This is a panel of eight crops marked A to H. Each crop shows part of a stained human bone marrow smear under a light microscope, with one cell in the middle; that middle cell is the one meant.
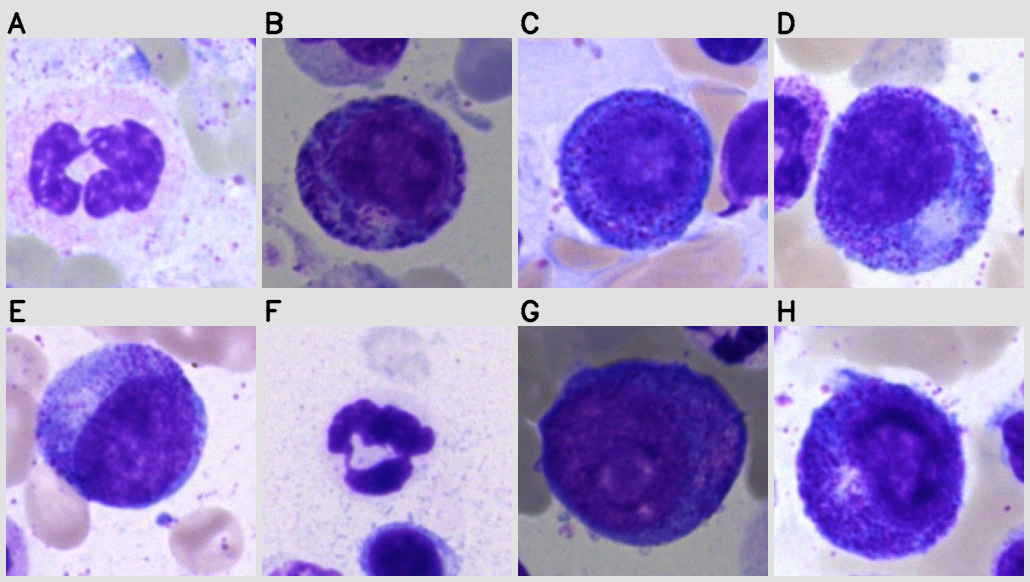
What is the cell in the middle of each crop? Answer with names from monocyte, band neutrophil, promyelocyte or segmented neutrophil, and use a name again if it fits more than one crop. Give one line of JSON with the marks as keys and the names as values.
{"A": "segmented neutrophil", "B": "promyelocyte", "C": "promyelocyte", "D": "promyelocyte", "E": "promyelocyte", "F": "segmented neutrophil", "G": "promyelocyte", "H": "promyelocyte"}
